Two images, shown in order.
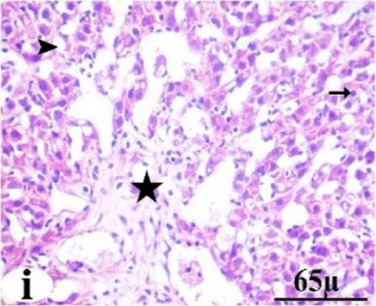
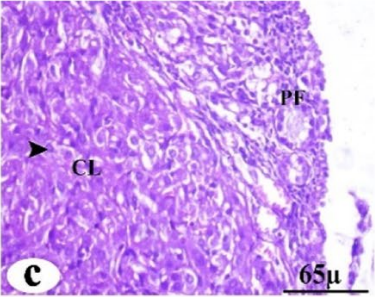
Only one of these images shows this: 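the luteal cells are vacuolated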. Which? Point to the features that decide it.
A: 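First image: the pink polygonal cells are separated by clear spaces and pale vacuoles. Second image: the polygonal cells are tightly packed with uniform pink cytoplasm. That points to this answer: the first image.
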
